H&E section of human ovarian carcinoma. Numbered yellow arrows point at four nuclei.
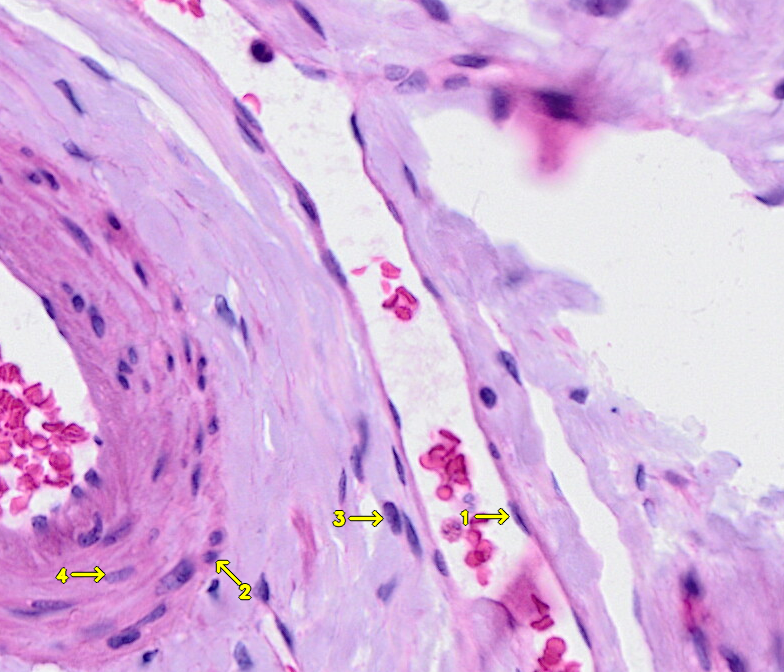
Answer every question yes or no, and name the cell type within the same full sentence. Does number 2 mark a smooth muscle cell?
Yes, looking at number 2, that cell is a smooth muscle cell.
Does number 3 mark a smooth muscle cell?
No, not a smooth muscle cell: the cell with number 3 is a fibroblast.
